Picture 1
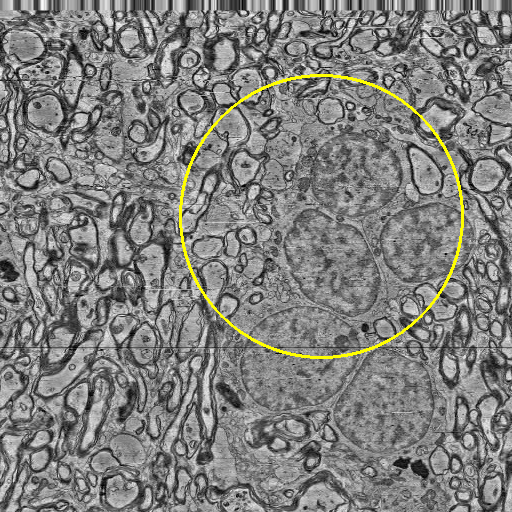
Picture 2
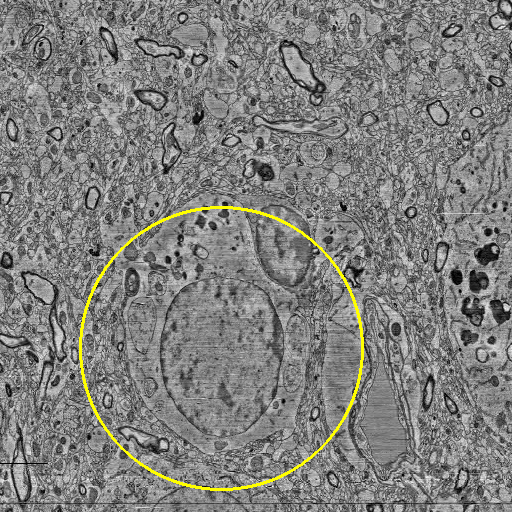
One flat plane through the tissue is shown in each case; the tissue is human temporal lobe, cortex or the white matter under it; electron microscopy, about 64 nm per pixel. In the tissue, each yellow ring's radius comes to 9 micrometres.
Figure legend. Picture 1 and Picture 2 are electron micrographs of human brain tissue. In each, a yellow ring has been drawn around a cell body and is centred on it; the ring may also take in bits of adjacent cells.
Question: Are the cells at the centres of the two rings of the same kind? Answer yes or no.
no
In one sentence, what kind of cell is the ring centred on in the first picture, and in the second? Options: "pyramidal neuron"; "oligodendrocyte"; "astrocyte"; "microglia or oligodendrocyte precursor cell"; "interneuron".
The cell at the centre of the second ring is an astrocyte; the first ring's cell is an oligodendrocyte.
